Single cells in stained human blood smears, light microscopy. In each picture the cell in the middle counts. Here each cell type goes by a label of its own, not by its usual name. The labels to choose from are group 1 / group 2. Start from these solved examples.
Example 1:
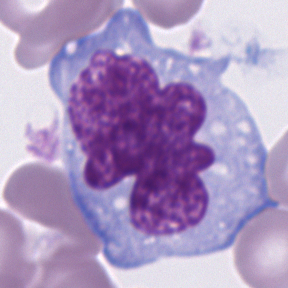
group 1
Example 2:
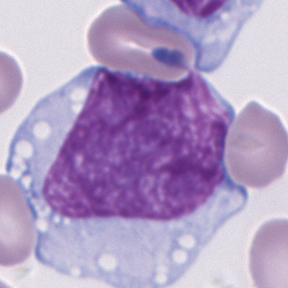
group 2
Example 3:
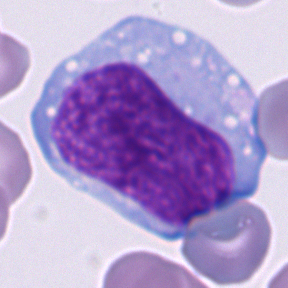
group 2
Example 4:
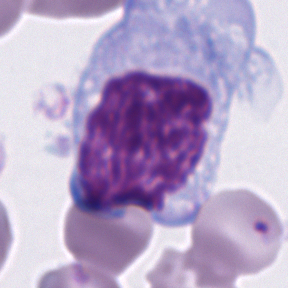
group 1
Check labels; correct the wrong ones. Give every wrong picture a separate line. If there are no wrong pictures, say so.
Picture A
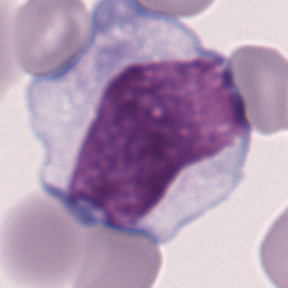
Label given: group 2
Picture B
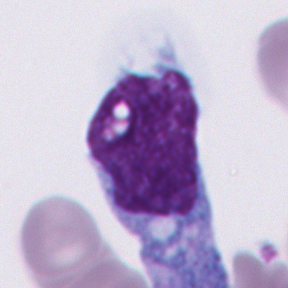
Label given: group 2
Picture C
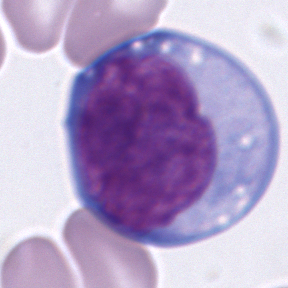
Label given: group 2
A is labelled group 2; correct label: group 1
B is labelled group 2; correct label: group 1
